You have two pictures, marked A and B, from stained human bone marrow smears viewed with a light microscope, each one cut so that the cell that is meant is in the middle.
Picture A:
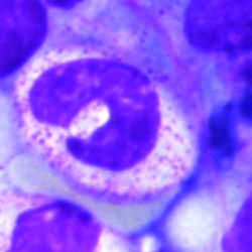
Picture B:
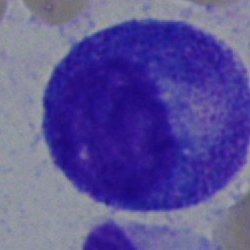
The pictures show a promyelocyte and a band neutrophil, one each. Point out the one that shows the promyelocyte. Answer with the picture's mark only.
B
